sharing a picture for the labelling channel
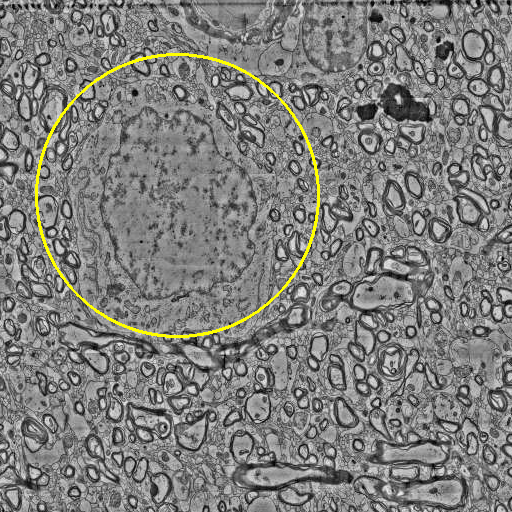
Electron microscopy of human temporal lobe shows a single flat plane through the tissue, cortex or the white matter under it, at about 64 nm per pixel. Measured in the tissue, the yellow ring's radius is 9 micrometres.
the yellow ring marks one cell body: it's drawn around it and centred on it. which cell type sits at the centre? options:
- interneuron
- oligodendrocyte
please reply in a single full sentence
In the picture, the cell at the ring's centre is an interneuron, going by the list.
